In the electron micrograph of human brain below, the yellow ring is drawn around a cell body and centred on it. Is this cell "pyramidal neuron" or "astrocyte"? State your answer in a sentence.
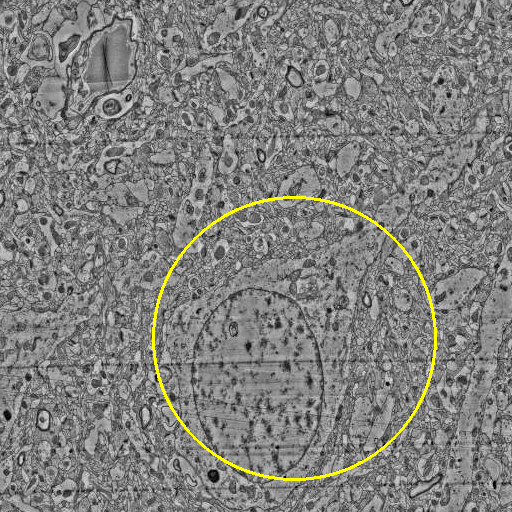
The cell in the middle of the ring is a pyramidal neuron.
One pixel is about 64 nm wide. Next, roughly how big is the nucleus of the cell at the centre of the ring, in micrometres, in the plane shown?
The nucleus of the ringed cell is approximately 12 by 8 micrometres in this plane.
